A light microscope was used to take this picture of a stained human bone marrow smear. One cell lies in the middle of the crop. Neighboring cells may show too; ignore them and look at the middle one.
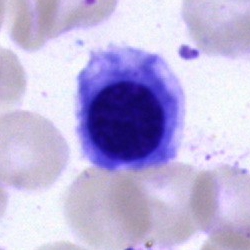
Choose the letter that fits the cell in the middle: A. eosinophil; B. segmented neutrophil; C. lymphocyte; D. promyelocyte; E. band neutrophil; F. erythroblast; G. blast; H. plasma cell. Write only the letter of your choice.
F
